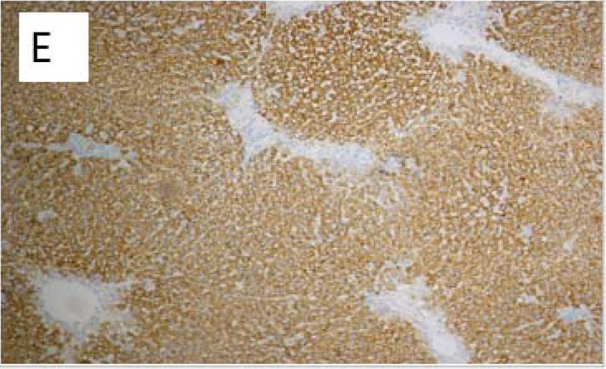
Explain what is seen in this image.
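Liver parenchyma in which hepatocytes show brown granular cytoplasmic staining arranged in plates and cords between vessels. Pale blue, unstained vascular spaces with radiating branches are scattered across the field, one of them round and prominent near the lower left. The hepatocyte cords and the narrow light gaps between them, the sinusoids, can be made out. The brown staining covers most of the field but varies in depth, so that some areas are lighter than others.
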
